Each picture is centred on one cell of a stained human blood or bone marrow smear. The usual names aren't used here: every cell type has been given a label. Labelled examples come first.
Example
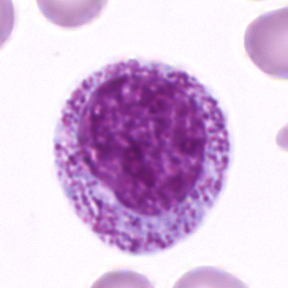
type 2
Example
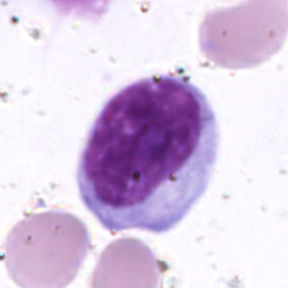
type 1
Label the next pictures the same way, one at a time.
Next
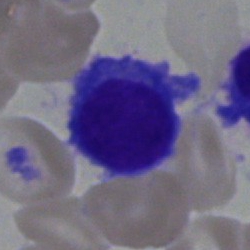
type 1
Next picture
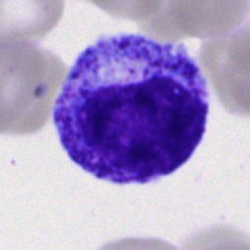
type 2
